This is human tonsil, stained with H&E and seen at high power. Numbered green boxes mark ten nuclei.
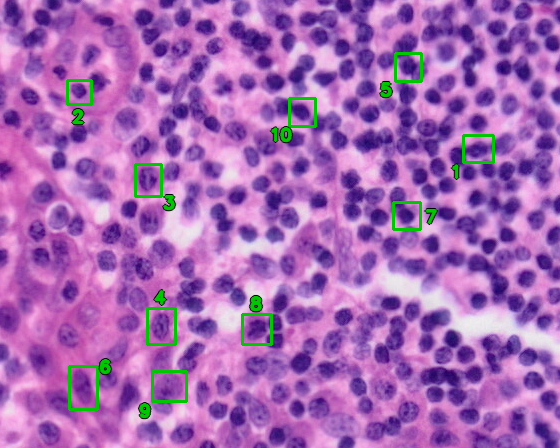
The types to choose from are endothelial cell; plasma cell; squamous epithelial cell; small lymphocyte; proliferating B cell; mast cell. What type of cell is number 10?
small lymphocyte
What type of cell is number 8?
plasma cell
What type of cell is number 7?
small lymphocyte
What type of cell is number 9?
squamous epithelial cell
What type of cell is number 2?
endothelial cell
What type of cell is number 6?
squamous epithelial cell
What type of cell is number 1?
small lymphocyte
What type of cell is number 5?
small lymphocyte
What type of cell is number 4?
plasma cell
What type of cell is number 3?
plasma cell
